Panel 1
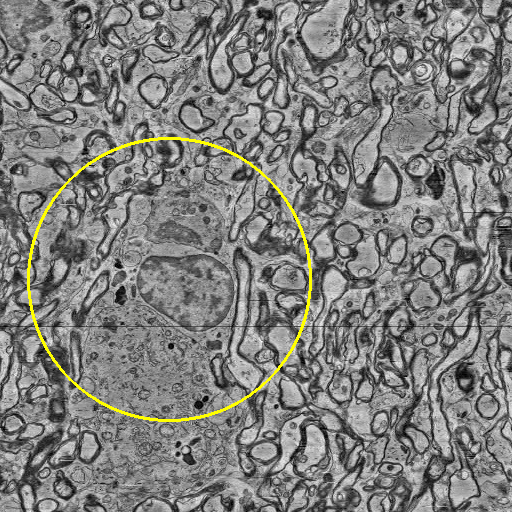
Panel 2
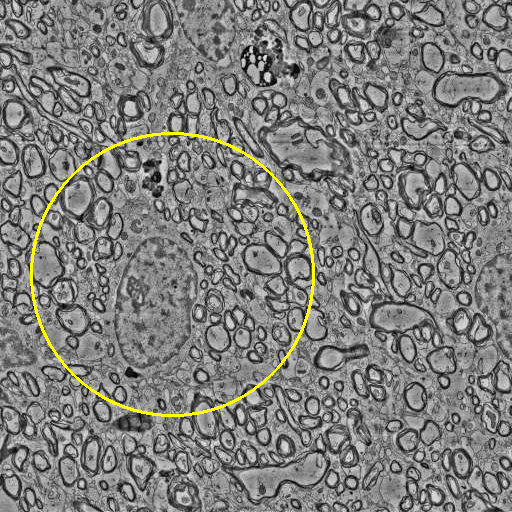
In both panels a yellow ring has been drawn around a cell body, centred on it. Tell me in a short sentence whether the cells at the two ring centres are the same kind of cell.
No, they are two kinds of cell.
